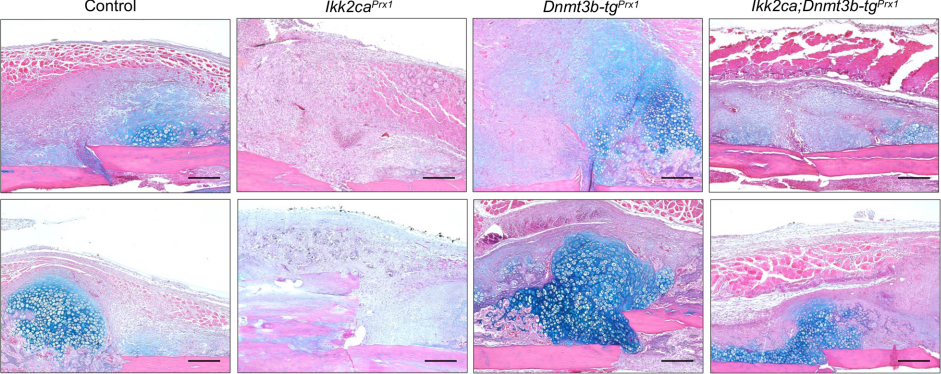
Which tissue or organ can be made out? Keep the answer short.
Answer: Fracture callus.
